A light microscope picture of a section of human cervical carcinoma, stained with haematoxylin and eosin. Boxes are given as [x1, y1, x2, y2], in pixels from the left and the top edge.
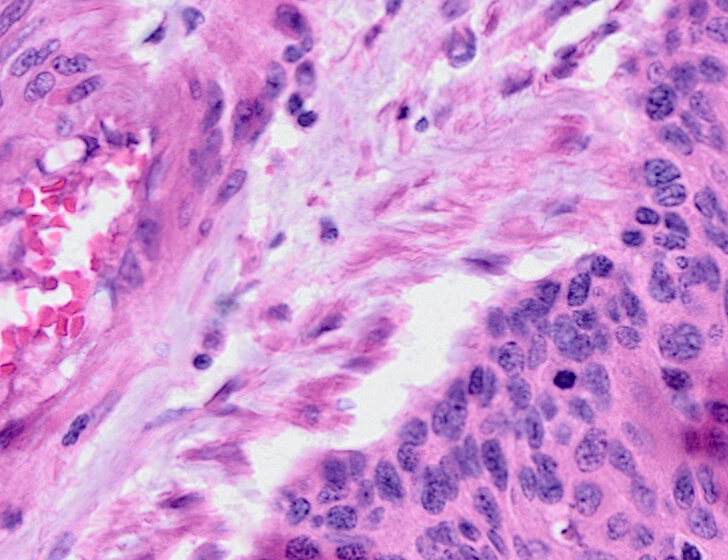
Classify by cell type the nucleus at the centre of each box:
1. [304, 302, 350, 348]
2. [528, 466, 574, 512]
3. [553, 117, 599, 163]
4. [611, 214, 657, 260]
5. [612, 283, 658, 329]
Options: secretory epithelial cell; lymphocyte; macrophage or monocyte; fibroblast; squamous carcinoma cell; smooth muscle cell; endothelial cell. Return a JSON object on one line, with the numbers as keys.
{"1": "fibroblast", "2": "squamous carcinoma cell", "3": "fibroblast", "4": "squamous carcinoma cell", "5": "squamous carcinoma cell"}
